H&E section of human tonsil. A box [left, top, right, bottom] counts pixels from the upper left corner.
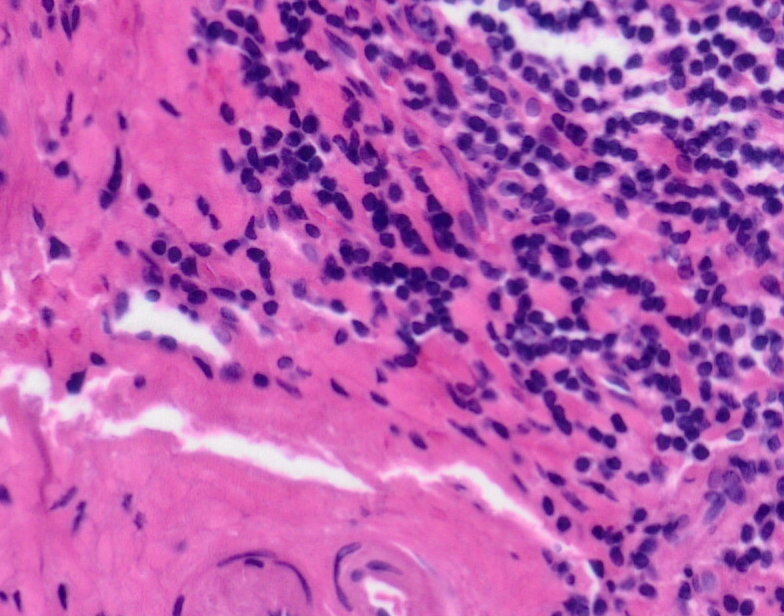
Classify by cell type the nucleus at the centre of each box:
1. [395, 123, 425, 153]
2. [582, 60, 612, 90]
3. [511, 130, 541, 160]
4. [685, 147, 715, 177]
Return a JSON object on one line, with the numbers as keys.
{"1": "endothelial cell", "2": "small lymphocyte", "3": "small lymphocyte", "4": "small lymphocyte"}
